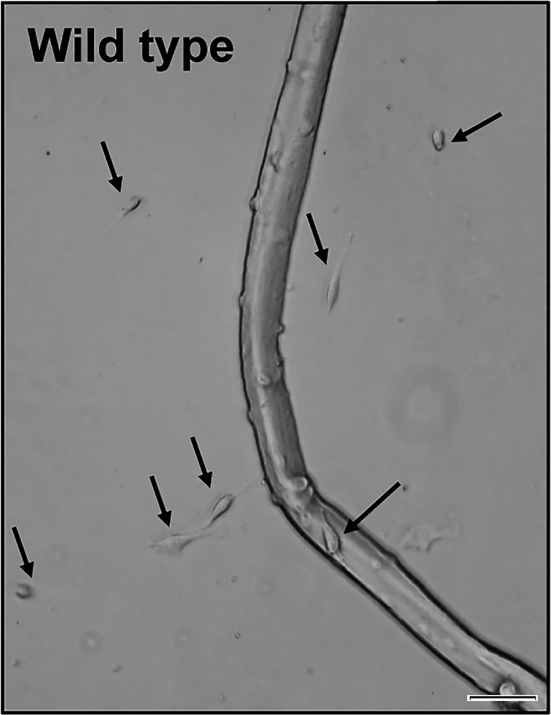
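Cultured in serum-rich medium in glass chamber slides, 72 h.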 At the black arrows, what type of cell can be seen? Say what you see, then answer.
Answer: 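Satellite cells. Small single cells, some round and some spindle-shaped with thin processes, lie on the glass. The cells sit near a long, thick fiber and, except one lying on it, apart from it.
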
